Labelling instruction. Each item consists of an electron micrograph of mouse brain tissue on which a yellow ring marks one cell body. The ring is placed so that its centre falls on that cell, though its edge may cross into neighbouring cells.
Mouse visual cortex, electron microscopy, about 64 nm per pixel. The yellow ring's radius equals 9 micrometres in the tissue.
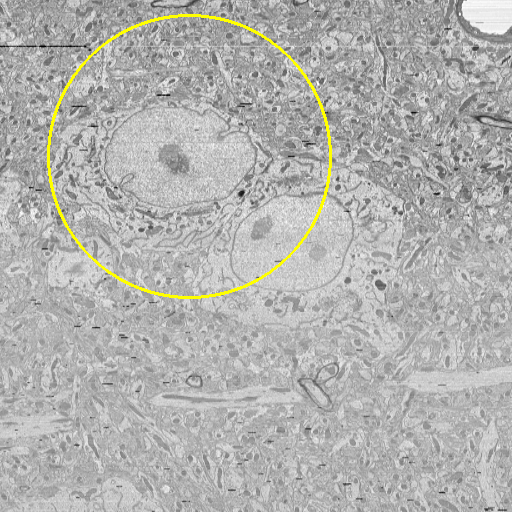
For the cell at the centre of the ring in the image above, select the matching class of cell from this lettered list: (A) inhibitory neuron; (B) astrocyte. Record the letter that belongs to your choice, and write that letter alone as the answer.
A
